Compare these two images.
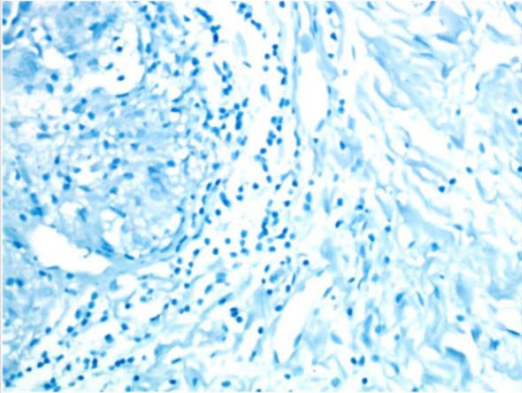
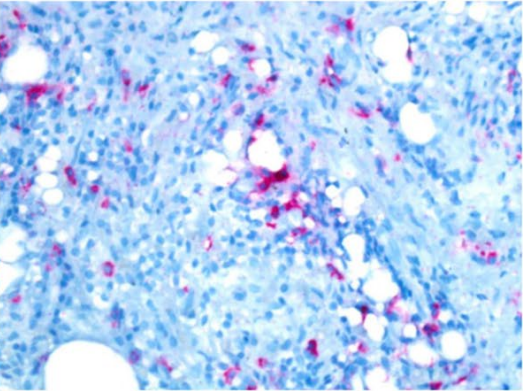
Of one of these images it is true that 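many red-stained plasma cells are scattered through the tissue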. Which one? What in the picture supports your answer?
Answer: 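Second image: dozens of cells with red-magenta stain are spread across the field. First image: no red-stained cells are seen; all nuclei are blue in pale stroma. That points to this answer: the second image.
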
